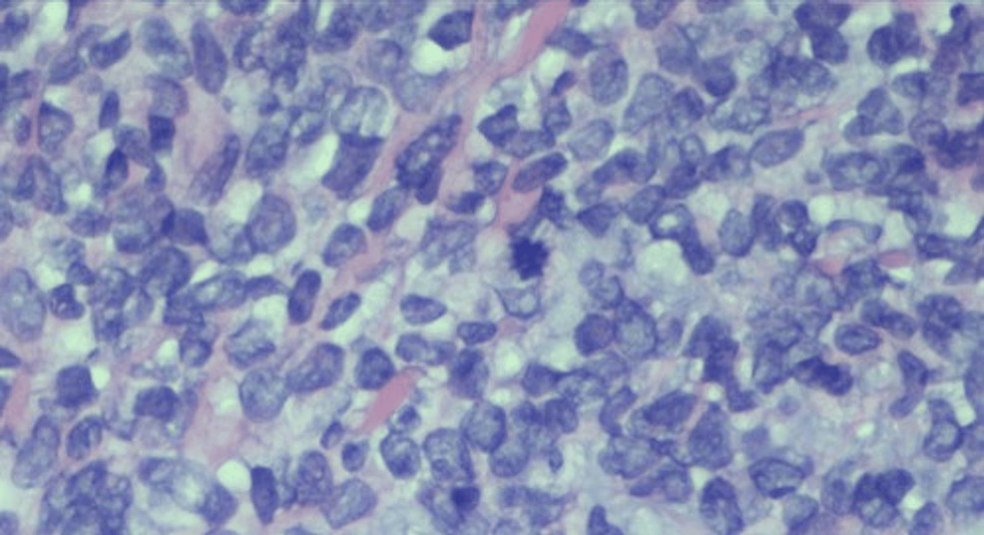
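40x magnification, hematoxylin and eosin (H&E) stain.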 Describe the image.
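Sheet of densely packed cells with dispersed chromatin and a high nuclear-to-cytoplasmic ratio. Nuclei are round to oval, some slightly irregular or indented, stained purple with fine, evenly spread chromatin and little clumping. Cytoplasm is scant and pale, forming only small clear patches between nuclei. The cells lie crowded without clear borders or glandular arrangement. Thin pink strands run between groups of cells. Near the centre a cell shows a small, very dark, clumped chromatin mass with ragged edges, a mitotic figure; another dark irregular nucleus lies near the lower edge.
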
